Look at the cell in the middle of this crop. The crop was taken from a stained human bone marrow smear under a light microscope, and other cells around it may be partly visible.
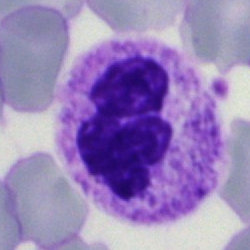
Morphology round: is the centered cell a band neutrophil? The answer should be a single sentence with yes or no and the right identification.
No, the centered cell is a segmented neutrophil and not a band neutrophil at all.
